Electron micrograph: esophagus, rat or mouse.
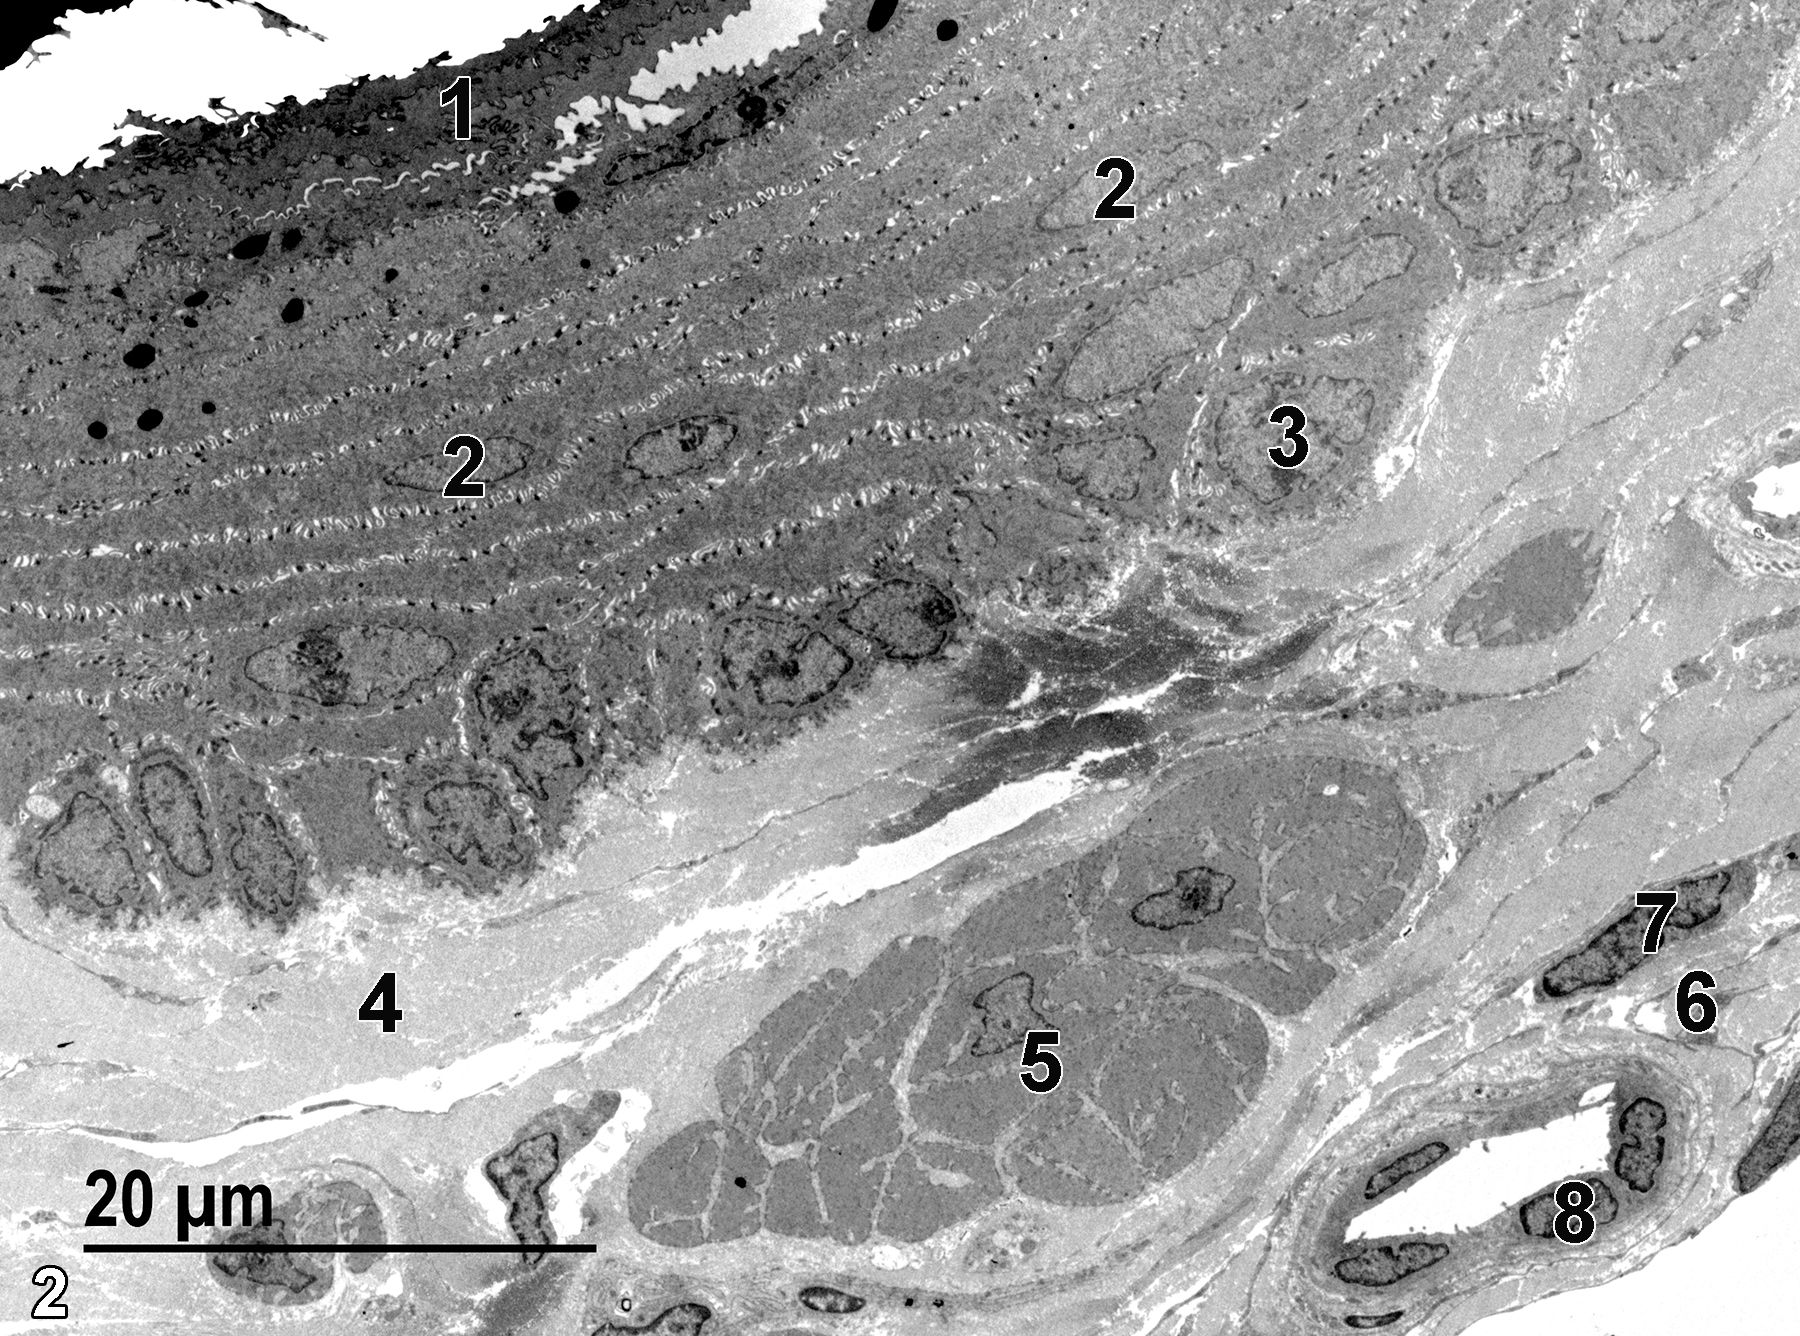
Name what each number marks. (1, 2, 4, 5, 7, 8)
1 keratinized epithelial surface
2 nuclei of squamous epithelial cells
4 collagen bundles of the lamina propria
5 smooth muscle cells
7 fibroblast nucleus
8 endothelial nucleus of a small vessel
